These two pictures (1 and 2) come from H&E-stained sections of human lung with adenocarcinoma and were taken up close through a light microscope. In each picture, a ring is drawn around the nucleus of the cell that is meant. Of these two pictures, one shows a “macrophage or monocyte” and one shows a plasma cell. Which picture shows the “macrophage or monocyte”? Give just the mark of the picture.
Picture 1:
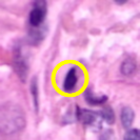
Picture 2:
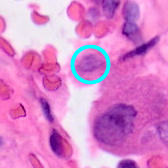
2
